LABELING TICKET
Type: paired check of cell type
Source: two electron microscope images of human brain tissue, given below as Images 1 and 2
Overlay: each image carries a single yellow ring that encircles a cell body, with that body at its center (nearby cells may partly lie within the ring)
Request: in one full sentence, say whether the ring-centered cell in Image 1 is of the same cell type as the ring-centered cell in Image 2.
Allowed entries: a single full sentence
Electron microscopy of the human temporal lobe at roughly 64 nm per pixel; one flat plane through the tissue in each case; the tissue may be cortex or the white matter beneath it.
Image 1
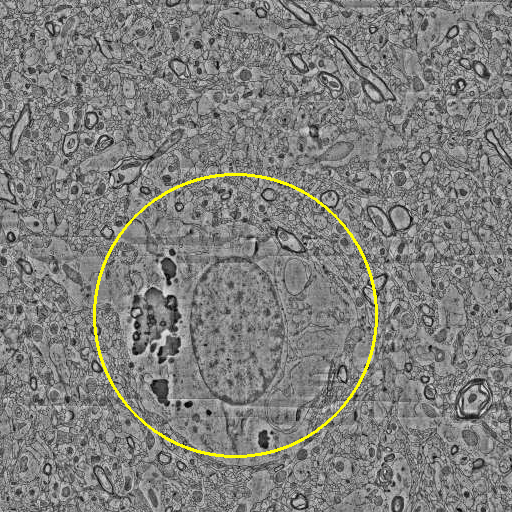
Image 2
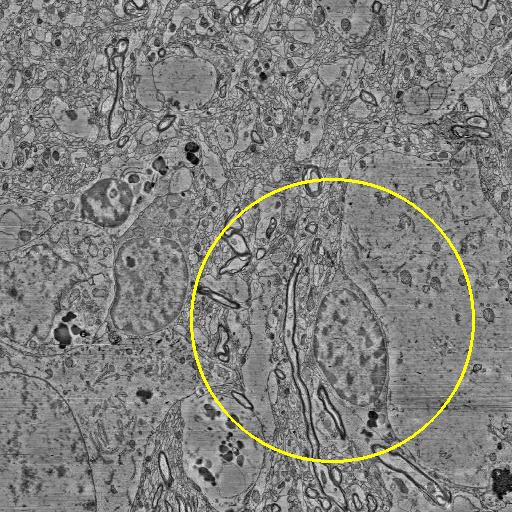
No, the cells centered in the rings of Image 1 and Image 2 are of two types.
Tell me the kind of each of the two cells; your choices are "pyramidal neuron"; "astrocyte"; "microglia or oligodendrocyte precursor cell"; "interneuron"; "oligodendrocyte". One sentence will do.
The ringed cell is an astrocyte in the first picture and an oligodendrocyte in the second picture.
